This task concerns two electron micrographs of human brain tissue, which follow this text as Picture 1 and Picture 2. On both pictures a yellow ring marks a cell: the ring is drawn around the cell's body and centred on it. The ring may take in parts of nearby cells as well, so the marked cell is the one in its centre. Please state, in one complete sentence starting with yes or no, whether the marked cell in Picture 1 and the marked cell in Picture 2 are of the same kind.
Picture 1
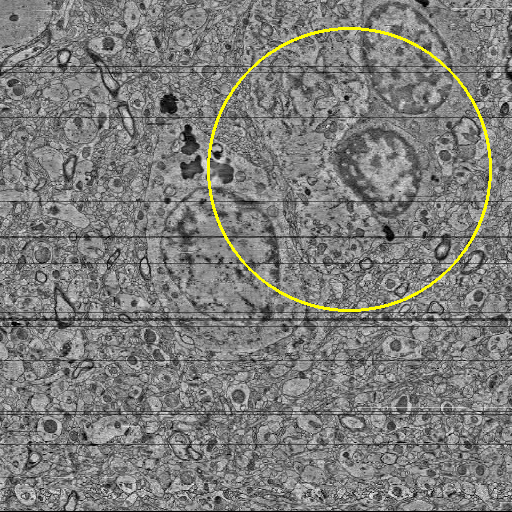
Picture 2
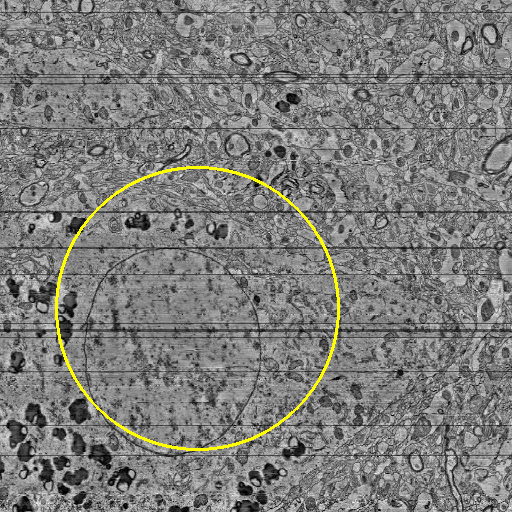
No, the marked cells in the two pictures are of two kinds.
